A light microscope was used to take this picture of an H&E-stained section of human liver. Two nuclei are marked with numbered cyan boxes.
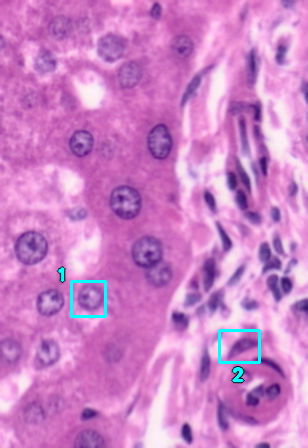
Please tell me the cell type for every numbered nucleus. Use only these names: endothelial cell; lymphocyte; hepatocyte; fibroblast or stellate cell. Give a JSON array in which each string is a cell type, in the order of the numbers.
["hepatocyte", "fibroblast or stellate cell"]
